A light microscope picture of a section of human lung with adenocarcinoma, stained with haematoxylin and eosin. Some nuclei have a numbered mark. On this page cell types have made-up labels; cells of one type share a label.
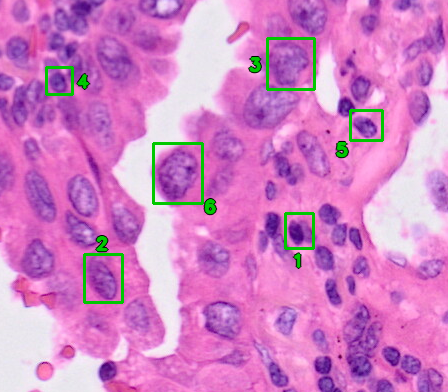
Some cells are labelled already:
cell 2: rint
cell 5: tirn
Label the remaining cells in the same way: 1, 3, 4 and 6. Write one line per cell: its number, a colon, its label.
1: tirn
3: rint
4: tirn
6: rint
